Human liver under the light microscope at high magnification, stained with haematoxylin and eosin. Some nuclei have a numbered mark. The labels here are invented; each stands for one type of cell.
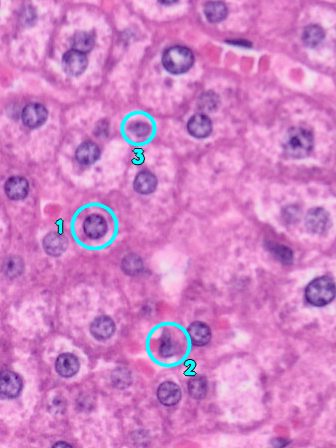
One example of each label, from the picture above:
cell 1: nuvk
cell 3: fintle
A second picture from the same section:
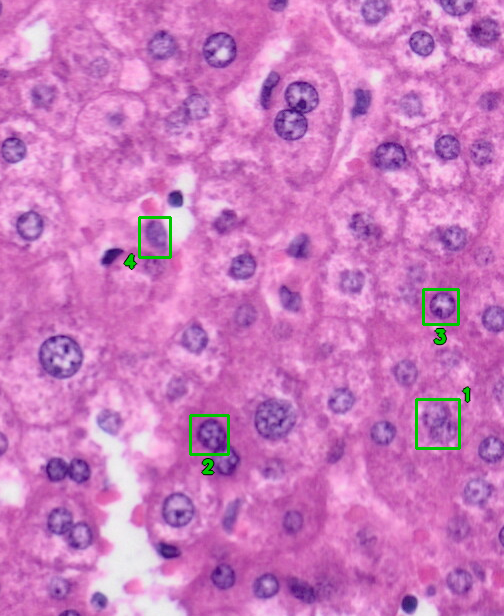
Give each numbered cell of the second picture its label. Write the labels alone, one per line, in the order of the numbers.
nuvk
nuvk
nuvk
fintle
